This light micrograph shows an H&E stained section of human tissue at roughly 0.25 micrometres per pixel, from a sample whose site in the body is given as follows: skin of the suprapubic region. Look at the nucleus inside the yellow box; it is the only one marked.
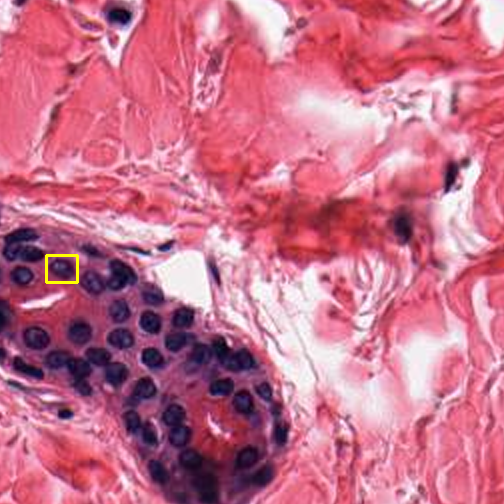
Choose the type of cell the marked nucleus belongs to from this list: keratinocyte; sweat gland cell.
sweat gland cell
